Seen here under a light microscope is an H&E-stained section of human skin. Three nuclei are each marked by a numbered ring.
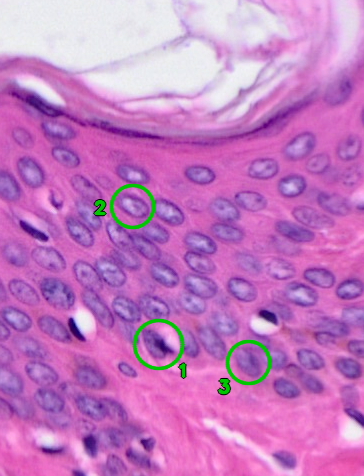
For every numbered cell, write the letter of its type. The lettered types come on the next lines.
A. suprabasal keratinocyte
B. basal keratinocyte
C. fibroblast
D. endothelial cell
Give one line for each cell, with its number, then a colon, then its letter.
1: B
2: A
3: B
